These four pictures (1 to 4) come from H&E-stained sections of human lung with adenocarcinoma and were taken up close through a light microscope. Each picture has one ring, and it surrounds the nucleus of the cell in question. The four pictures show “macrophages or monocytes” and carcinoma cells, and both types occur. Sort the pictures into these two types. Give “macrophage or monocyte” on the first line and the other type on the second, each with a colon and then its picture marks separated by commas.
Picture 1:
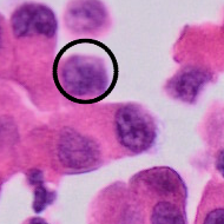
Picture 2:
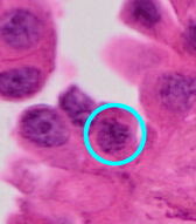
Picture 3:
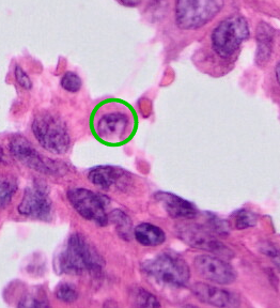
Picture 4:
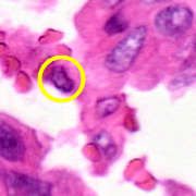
macrophage or monocyte: 3, 4
carcinoma cell: 1, 2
